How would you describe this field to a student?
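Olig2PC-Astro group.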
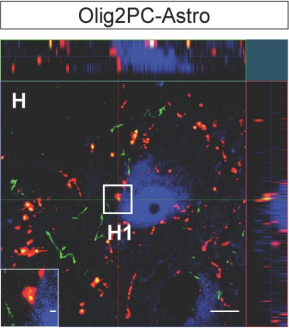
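The blue cell body is broad and irregular, with a round dark nucleus near its middle and fainter blue extending outward toward its processes. Some dots appear yellow to orange where red and green overlap, and green dots and short green threads are also scattered among them. Thin side strips along the top and right show the same stack viewed in cross-section, with blue and red running through the depth.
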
